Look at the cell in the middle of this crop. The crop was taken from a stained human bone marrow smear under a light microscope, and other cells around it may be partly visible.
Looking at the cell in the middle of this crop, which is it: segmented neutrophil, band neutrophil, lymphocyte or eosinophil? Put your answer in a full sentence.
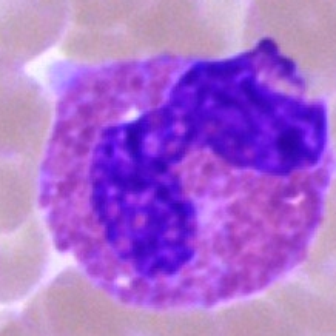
This crop is built around an eosinophil at its centre.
